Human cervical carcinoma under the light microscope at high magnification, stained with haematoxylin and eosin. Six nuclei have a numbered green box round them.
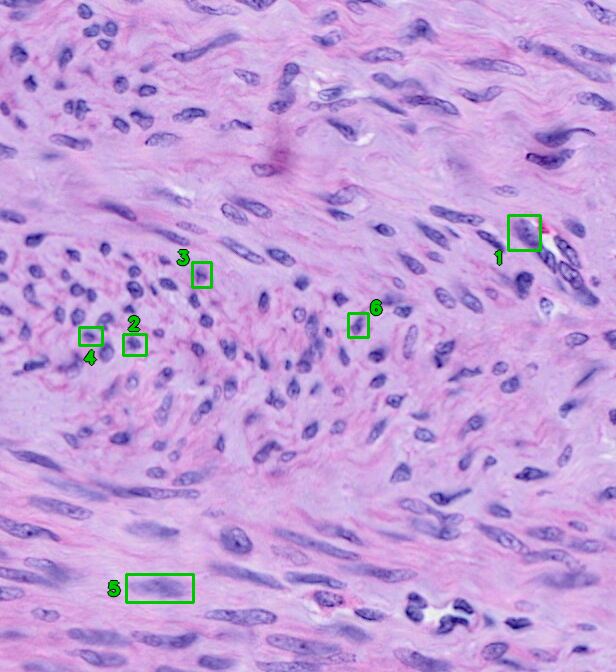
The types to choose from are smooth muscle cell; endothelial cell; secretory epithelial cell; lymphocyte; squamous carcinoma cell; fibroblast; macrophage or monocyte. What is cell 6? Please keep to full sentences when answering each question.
The cell marked with the number 6 is a smooth muscle cell.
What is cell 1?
The cell that is numbered 1 is an endothelial cell.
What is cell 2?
That cell with number 2 is a smooth muscle cell.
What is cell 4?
Classified as a smooth muscle cell is the cell with the number 4.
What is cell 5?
Marked with the number 5, this cell is a fibroblast.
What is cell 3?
The one numbered 3 among the marked cells is a smooth muscle cell.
